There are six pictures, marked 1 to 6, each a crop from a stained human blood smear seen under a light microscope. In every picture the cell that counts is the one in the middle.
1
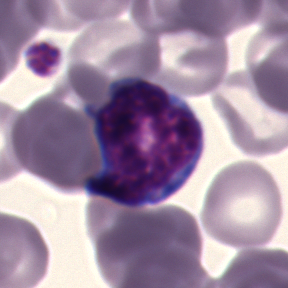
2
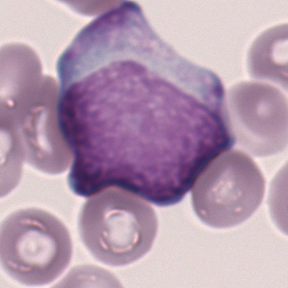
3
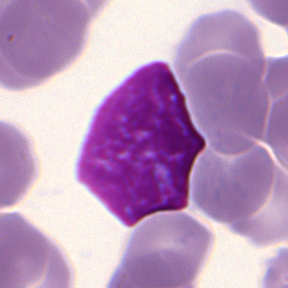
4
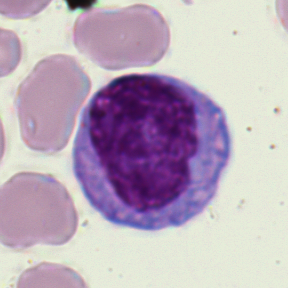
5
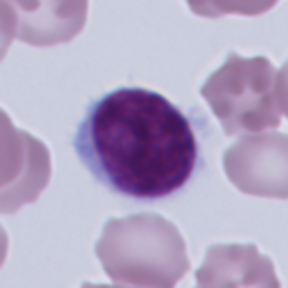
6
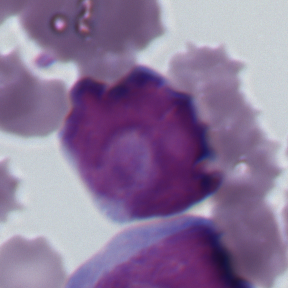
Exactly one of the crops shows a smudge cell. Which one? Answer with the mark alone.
3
